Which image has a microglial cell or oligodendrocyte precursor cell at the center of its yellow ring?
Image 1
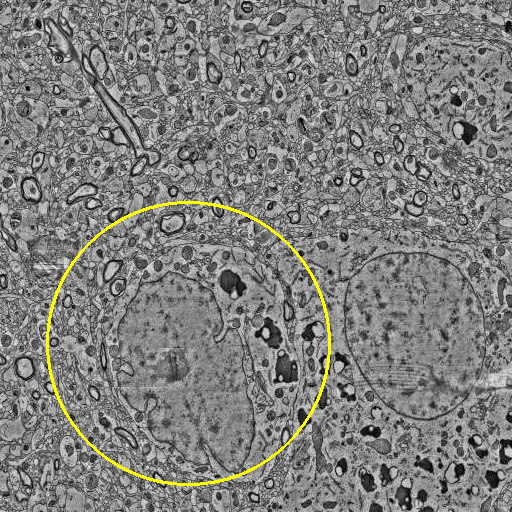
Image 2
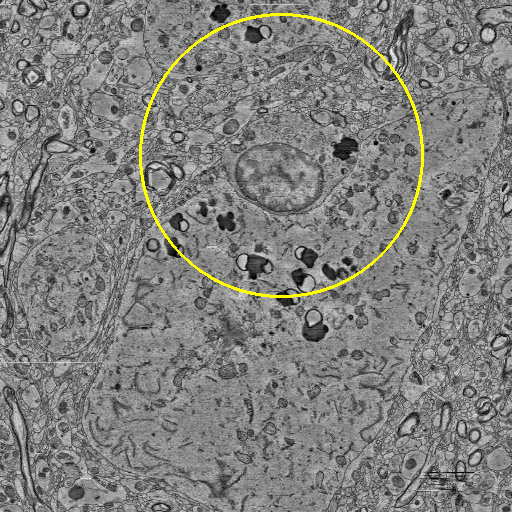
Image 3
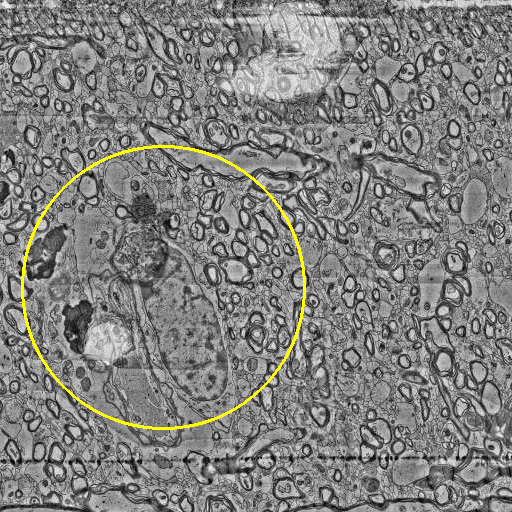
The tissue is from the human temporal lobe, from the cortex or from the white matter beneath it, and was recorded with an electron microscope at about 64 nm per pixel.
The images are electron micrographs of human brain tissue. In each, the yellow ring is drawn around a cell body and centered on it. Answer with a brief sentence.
It is at the center of the ring in Image 3.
